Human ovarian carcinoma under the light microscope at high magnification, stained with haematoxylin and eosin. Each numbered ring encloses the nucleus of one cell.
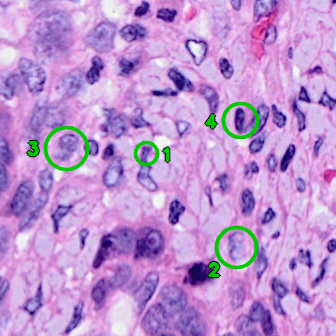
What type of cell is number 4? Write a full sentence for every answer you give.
The cell identified by number 4 is a lymphocyte.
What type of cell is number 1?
Cell 1 of the marked set is a fibroblast.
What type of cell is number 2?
Marked with the number 2, this cell is a fibroblast.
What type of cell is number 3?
The cell referenced by the number 3 is a fibroblast in this field.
